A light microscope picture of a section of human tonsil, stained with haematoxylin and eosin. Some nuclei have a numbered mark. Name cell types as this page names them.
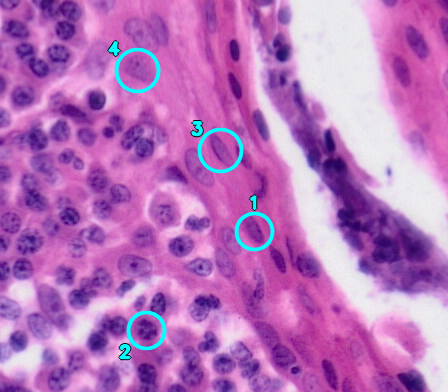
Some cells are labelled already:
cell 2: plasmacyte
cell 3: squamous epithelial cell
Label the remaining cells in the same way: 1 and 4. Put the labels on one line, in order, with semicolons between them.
squamous epithelial cell; squamous epithelial cell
